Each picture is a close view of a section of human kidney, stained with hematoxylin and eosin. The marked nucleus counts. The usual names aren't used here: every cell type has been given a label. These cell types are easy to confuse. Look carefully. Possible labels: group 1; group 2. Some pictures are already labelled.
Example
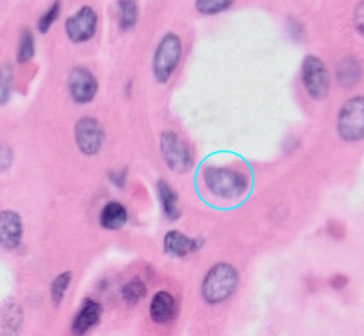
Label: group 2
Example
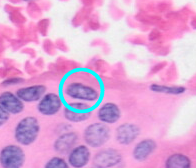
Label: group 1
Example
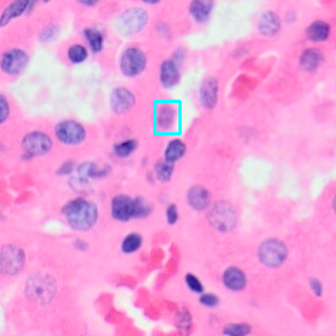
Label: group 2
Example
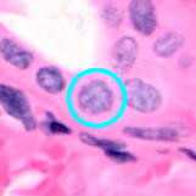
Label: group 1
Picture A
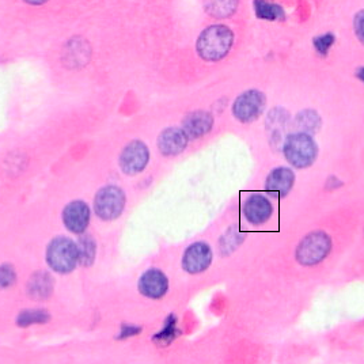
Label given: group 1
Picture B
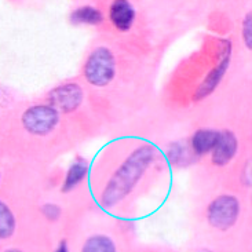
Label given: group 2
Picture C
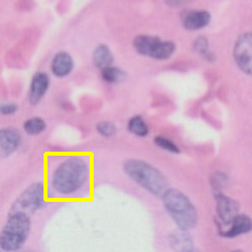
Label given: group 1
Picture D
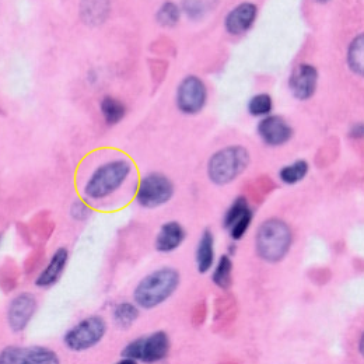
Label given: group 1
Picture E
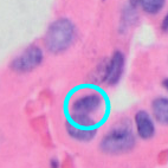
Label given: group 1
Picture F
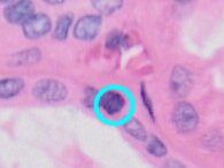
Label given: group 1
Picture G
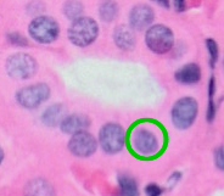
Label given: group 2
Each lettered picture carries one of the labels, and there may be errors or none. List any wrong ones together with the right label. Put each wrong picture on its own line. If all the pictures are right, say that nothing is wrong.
B should be group 1, not group 2
G should be group 1, not group 2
